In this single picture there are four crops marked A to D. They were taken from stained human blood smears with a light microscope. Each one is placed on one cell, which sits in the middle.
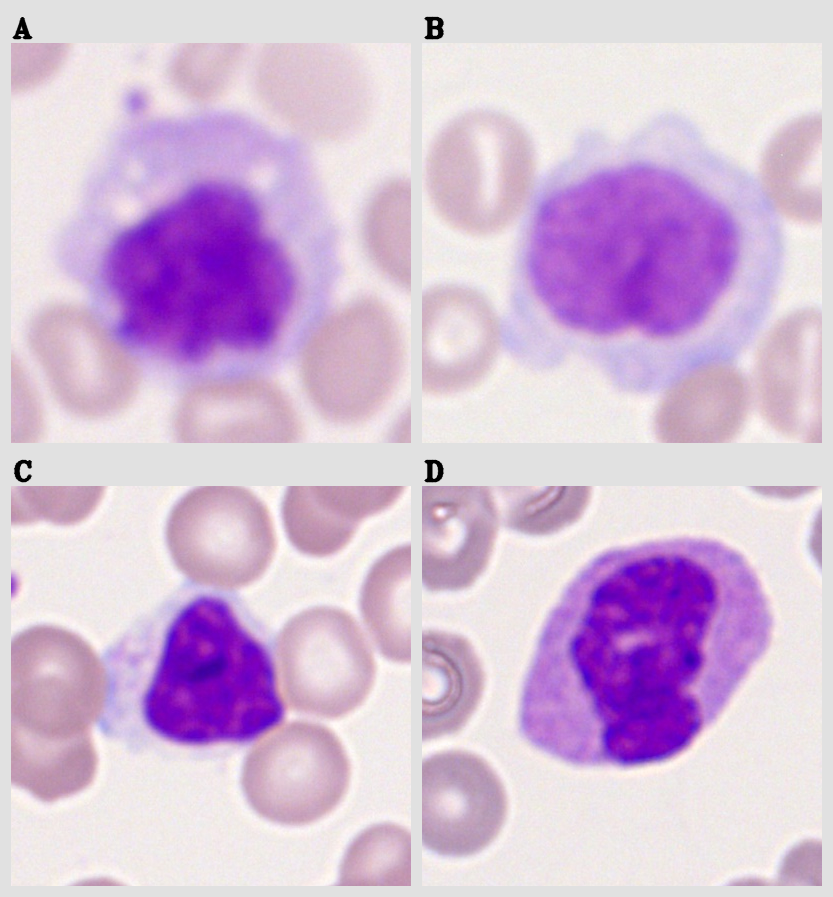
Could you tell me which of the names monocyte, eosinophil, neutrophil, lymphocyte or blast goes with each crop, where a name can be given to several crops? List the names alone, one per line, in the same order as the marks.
monocyte
monocyte
lymphocyte
monocyte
